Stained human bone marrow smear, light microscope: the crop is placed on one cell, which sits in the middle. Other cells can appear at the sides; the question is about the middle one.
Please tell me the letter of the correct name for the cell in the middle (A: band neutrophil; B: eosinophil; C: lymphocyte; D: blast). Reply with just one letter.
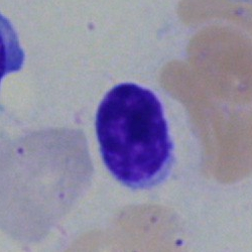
C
